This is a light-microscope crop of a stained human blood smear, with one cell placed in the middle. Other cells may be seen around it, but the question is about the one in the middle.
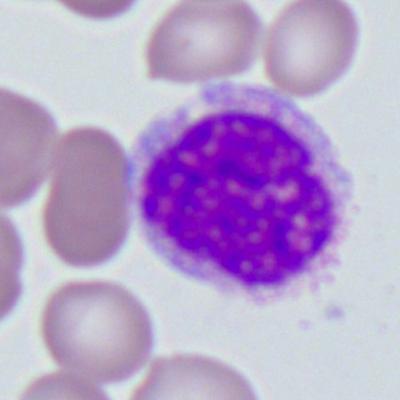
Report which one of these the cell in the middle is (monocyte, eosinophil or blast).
monocyte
